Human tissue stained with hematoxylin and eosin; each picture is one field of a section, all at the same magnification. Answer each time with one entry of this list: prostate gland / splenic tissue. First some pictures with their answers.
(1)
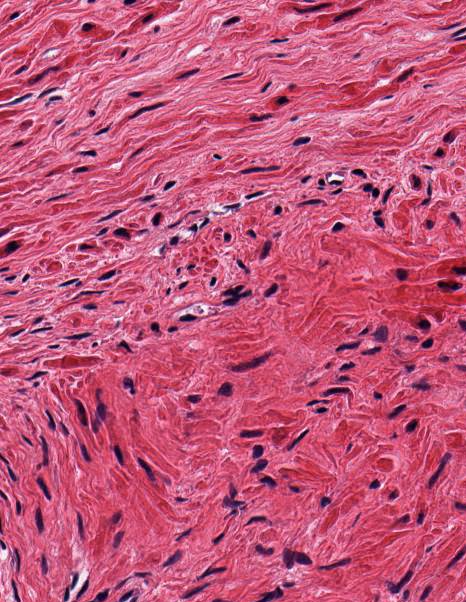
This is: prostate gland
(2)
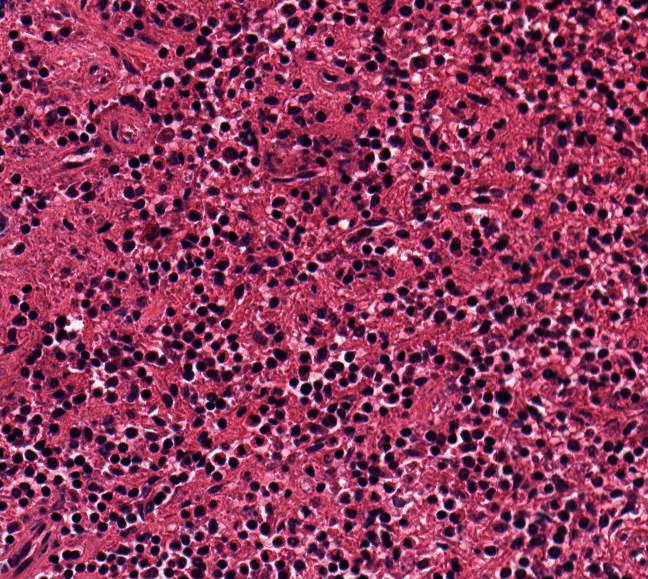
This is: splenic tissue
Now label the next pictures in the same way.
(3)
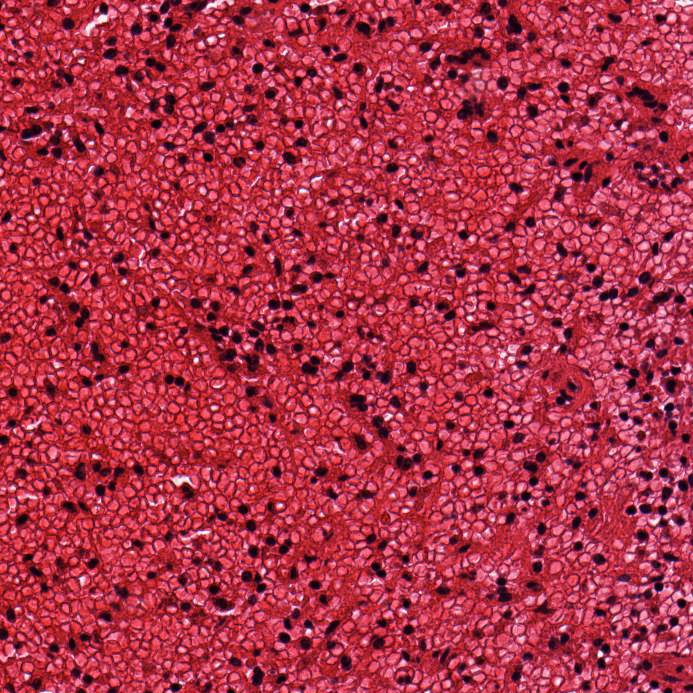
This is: splenic tissue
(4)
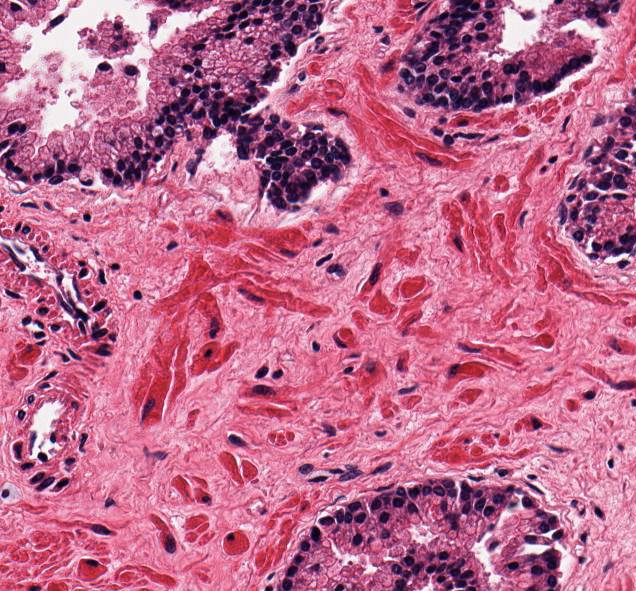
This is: prostate gland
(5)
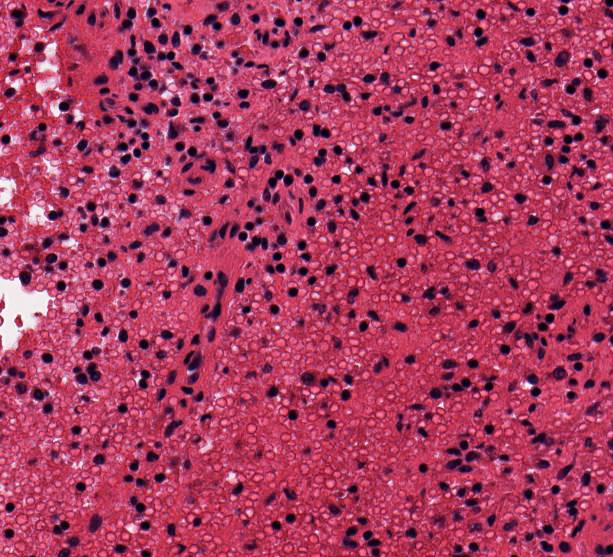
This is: splenic tissue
